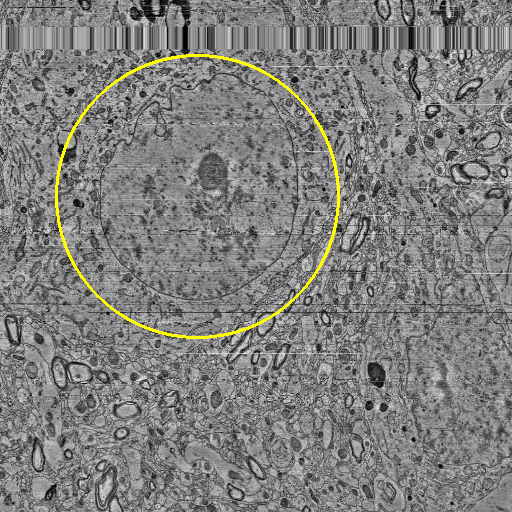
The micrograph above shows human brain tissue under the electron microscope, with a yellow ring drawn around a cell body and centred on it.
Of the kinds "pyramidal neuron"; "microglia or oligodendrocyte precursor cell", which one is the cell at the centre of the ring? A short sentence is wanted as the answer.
The one at the centre of the ring is a pyramidal neuron.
